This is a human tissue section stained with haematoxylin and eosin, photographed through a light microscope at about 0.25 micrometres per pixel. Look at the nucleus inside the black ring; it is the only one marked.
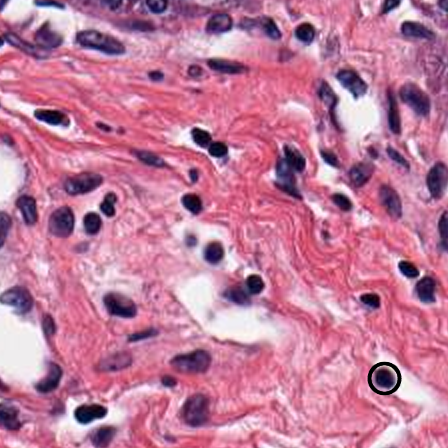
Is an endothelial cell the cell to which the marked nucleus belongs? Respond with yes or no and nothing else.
no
